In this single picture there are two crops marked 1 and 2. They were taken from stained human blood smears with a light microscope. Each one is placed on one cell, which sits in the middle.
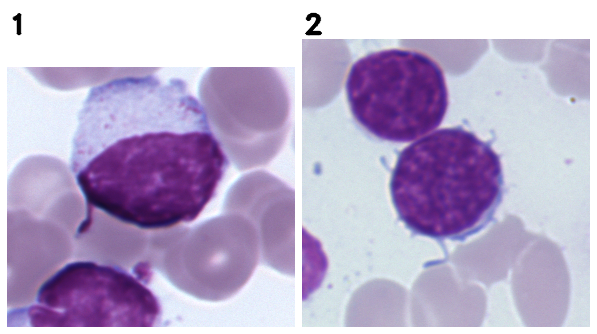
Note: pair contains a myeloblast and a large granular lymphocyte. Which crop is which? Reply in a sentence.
The cell of interest in crop 1 is a large granular lymphocyte, and in crop 2 it is a myeloblast.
